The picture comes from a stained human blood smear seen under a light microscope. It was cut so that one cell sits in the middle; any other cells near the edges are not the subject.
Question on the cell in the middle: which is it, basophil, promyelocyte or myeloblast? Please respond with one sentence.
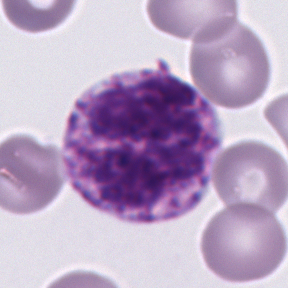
The cell at the middle of the frame should be recorded as a basophil.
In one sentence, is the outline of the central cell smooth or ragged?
The cell outline lacks smoothness, being ragged or extended into projections.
